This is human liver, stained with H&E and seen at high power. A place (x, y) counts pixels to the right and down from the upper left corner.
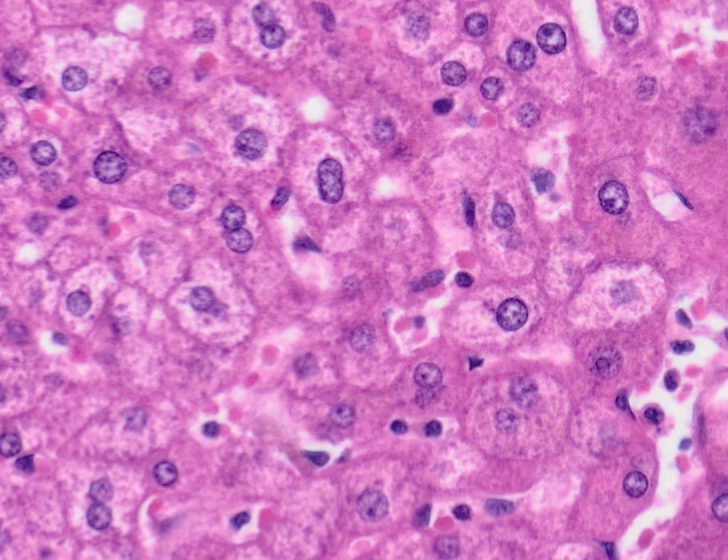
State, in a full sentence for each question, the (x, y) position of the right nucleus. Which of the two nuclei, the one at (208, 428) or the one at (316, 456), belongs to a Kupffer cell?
The pair contains one nucleus of a Kupffer cell, namely the one at (316, 456).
